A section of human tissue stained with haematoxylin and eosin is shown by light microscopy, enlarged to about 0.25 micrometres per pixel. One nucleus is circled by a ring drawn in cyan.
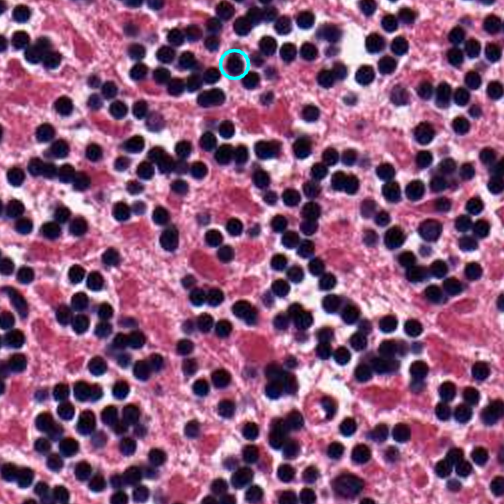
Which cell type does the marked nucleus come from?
cerebellar granule cell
